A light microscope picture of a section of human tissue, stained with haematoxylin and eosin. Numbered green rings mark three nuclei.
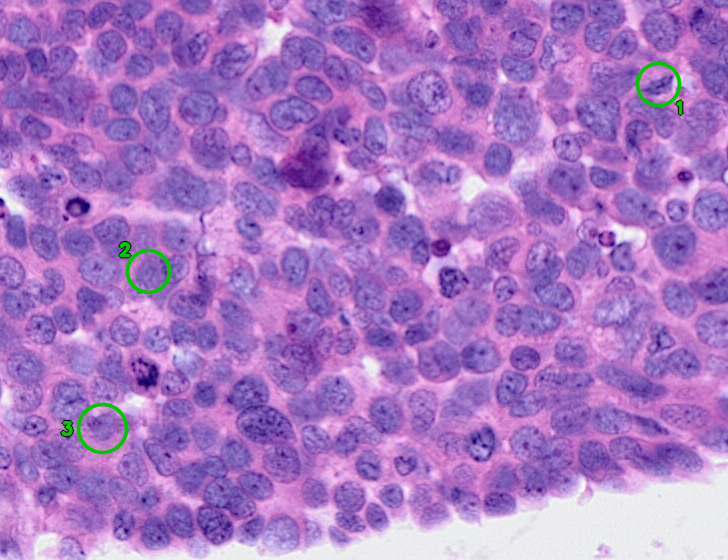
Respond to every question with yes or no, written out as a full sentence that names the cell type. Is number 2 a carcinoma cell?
Yes, the cell labelled with number 2 is a carcinoma cell.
